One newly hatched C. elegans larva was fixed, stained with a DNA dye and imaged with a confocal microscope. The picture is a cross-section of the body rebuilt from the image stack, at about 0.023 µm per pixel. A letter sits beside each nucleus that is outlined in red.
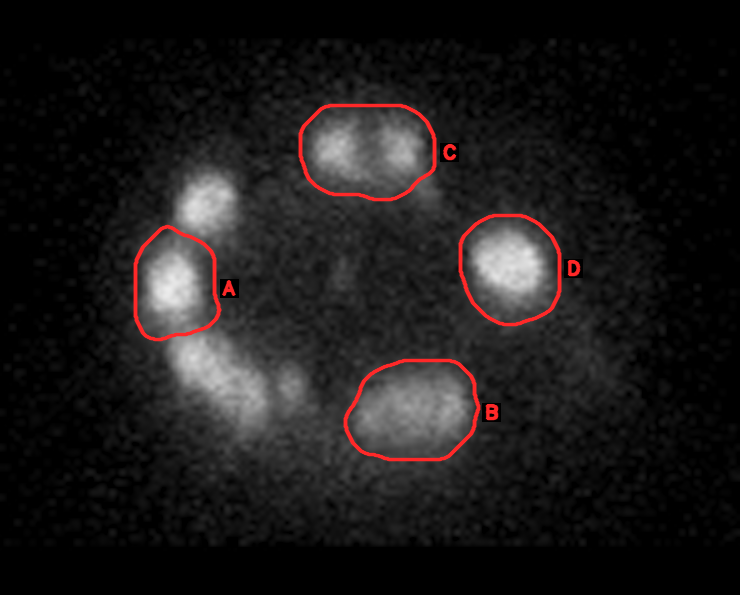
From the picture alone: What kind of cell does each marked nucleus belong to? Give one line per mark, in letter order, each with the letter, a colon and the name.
A: neuron
B: seam cell
C: seam cell
D: neuron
